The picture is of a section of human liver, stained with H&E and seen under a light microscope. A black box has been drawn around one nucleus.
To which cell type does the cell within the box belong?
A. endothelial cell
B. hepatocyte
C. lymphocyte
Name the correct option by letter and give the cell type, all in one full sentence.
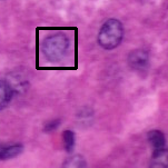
Under option B, the cell within the box is listed as a hepatocyte, which is correct.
